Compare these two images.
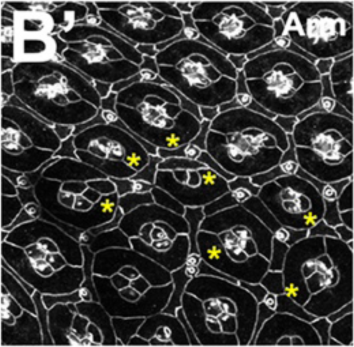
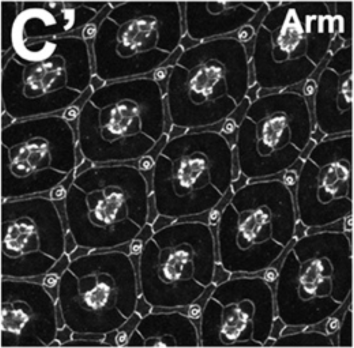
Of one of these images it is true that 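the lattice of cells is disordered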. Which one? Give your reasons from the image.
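The first image. Second image: the units repeat in an even honeycomb with uniform outlines. First image: many units have distorted, uneven outlines and irregular spacing.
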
